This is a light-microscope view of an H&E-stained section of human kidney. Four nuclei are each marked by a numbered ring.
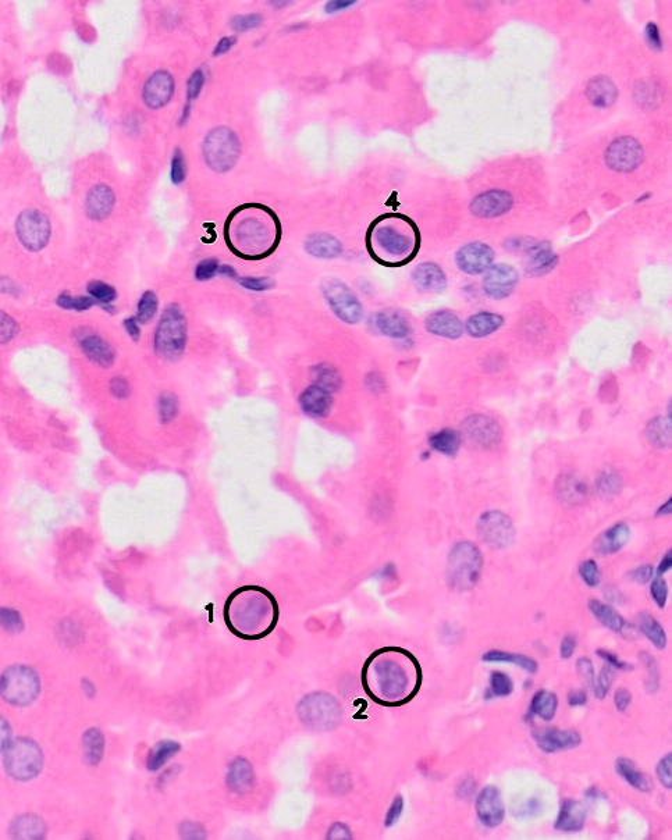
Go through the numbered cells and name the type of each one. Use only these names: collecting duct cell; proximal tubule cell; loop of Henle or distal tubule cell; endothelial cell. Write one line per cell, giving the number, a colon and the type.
1: proximal tubule cell
2: proximal tubule cell
3: proximal tubule cell
4: collecting duct cell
